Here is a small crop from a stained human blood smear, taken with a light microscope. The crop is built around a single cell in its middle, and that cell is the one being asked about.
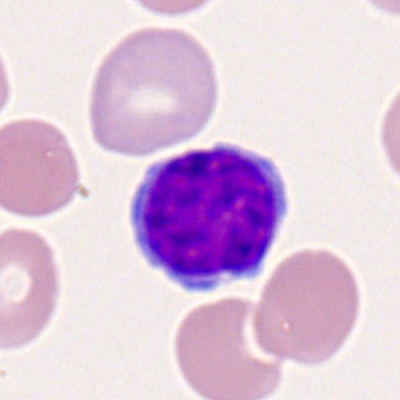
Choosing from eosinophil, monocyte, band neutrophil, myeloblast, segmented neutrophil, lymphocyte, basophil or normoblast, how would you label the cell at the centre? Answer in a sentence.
The cell under consideration, at the middle of the crop, is a lymphocyte.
